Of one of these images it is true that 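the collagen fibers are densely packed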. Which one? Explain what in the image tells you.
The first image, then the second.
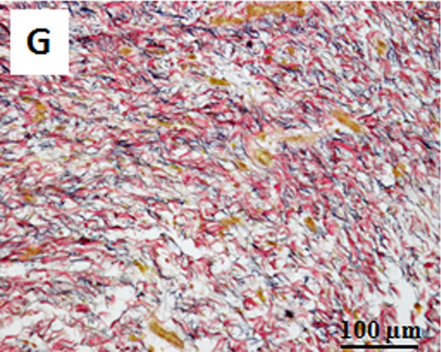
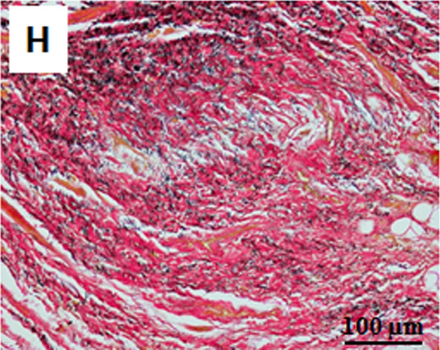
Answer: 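Second image: thick, closely packed red fiber bundles. First image: loose, thin red and black fibers with many pale gaps.
The second image.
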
